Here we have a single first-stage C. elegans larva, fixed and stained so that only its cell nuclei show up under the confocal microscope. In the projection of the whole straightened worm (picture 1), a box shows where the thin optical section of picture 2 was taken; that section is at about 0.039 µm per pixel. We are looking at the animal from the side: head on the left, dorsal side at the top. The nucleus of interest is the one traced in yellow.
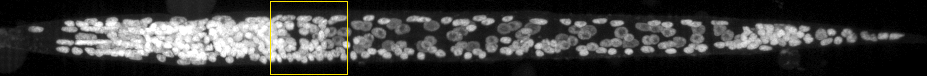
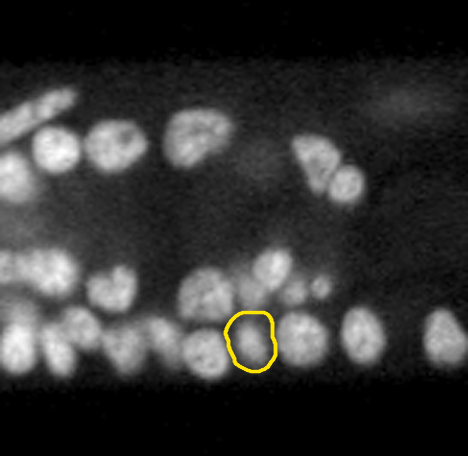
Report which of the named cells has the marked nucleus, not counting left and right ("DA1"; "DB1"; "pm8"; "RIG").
DB1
